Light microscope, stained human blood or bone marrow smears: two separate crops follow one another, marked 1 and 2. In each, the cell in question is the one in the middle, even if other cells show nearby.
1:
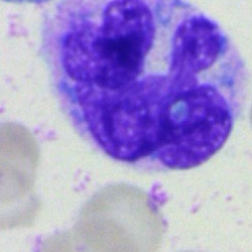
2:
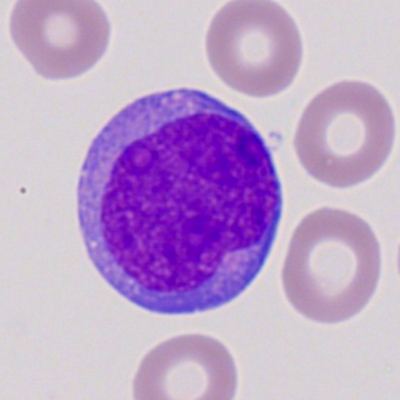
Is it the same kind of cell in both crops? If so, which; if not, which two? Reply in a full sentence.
No, that is not right; crop 1 shows a monocyte and crop 2 shows a blast.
